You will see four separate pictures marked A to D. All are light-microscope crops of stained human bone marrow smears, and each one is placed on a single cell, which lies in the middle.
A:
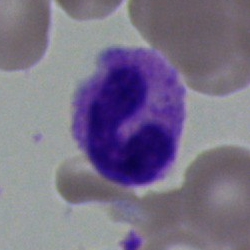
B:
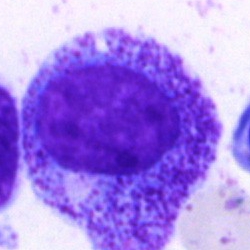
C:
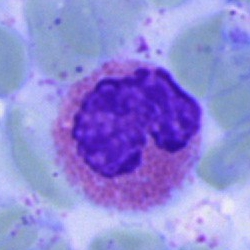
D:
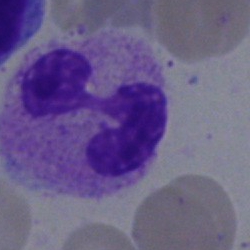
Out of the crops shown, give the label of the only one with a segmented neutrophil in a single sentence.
Of the crops given, a segmented neutrophil is found in crop D.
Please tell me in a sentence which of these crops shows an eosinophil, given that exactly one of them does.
The one that shows an eosinophil is crop C.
